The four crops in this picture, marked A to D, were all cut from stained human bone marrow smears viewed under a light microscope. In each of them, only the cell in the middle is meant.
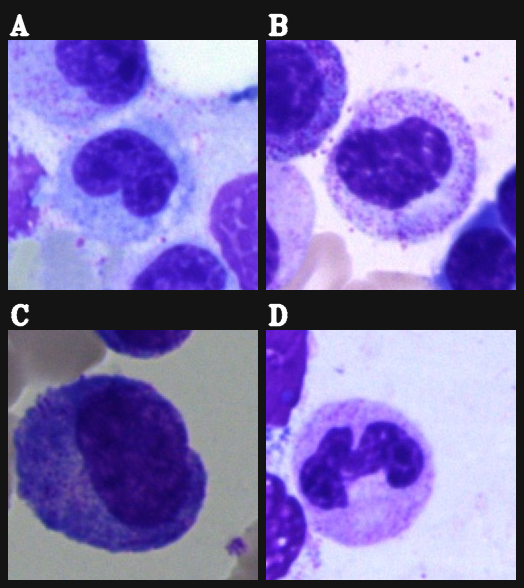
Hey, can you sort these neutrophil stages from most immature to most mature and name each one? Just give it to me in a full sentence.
Least to most mature, the order stands as crop C (a promyelocyte), crop B (a metamyelocyte), crop A (a band neutrophil) and crop D (a segmented neutrophil).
